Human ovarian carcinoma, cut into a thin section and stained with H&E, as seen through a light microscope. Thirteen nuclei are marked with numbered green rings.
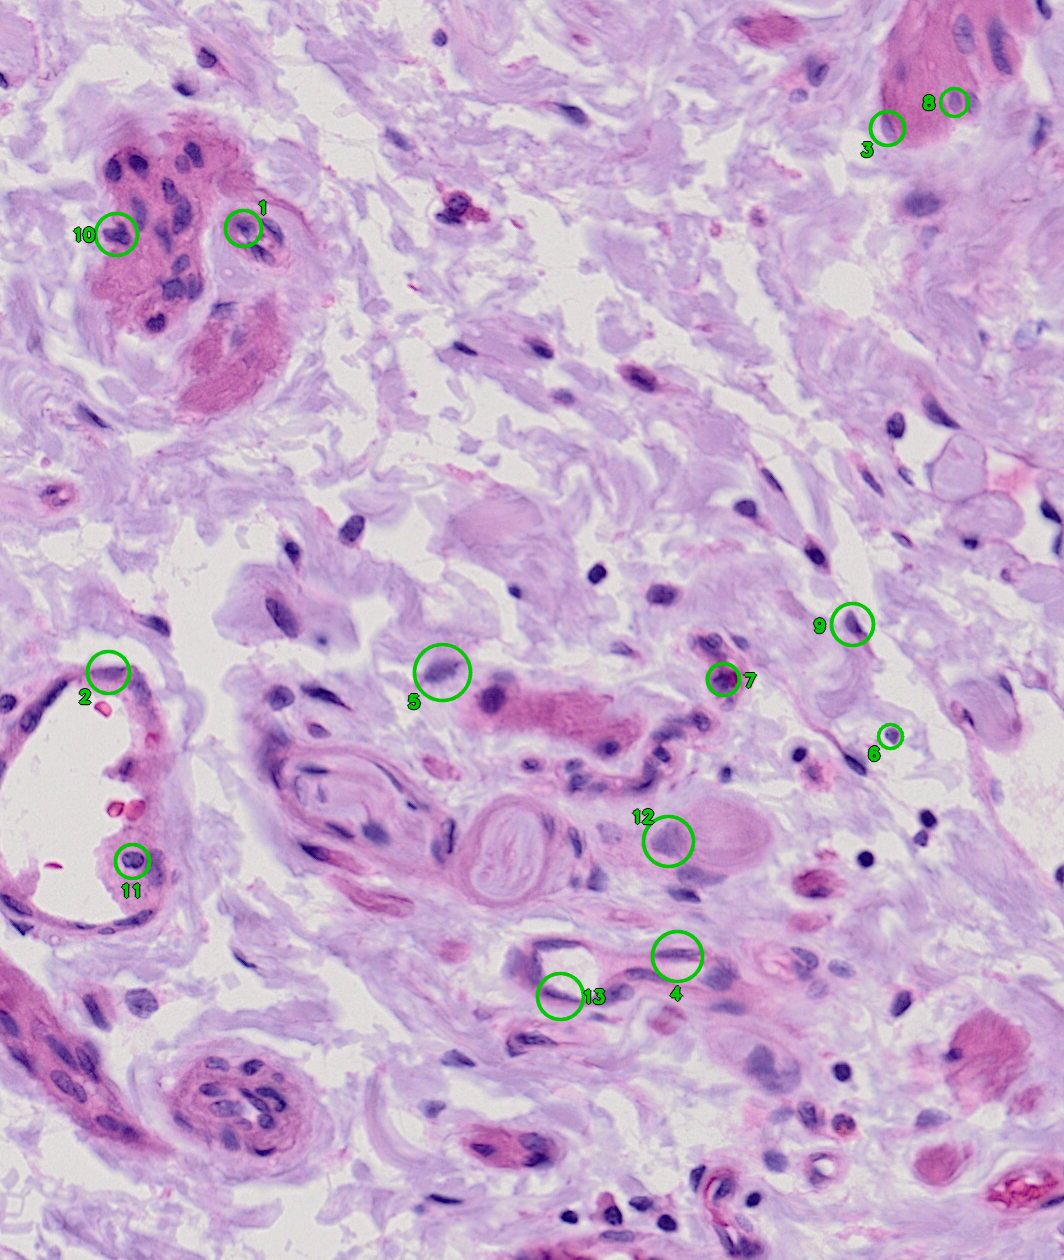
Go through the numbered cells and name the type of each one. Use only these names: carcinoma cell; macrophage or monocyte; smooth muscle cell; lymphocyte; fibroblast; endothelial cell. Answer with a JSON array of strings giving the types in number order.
["endothelial cell", "endothelial cell", "smooth muscle cell", "endothelial cell", "fibroblast", "lymphocyte", "endothelial cell", "smooth muscle cell", "fibroblast", "smooth muscle cell", "lymphocyte", "fibroblast", "endothelial cell"]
